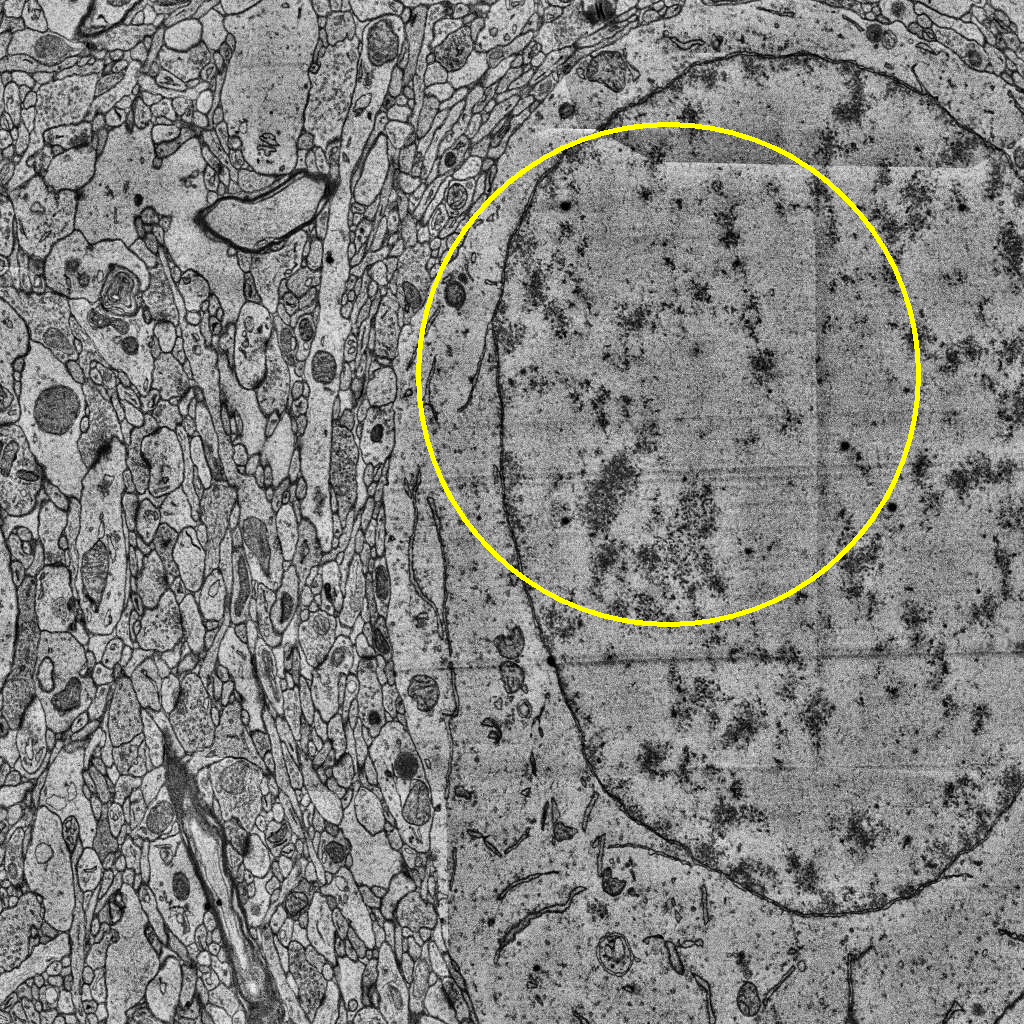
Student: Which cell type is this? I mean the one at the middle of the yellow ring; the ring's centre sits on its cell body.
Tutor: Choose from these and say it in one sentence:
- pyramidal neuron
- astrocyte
The cell at the ring's centre is a pyramidal neuron.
